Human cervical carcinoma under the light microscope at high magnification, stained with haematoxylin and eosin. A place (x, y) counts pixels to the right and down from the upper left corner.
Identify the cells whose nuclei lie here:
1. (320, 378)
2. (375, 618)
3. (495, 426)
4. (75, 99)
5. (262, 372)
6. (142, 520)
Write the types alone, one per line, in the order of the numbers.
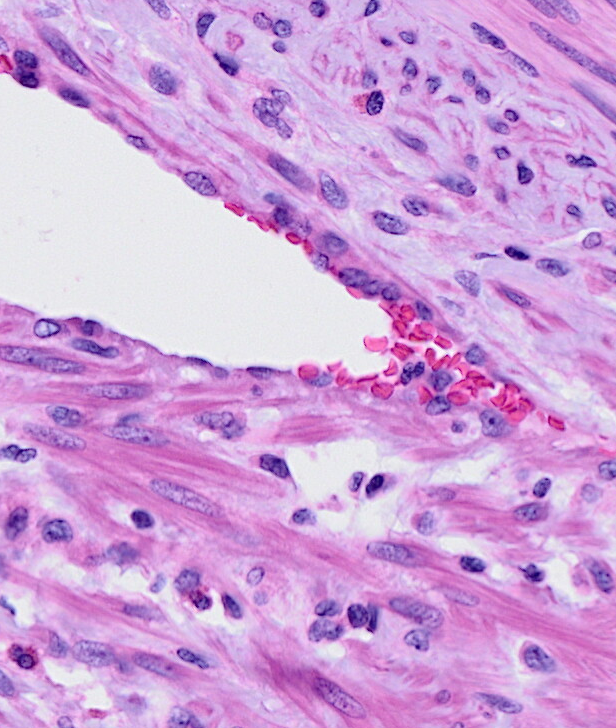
endothelial cell
lymphocyte
endothelial cell
endothelial cell
endothelial cell
lymphocyte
